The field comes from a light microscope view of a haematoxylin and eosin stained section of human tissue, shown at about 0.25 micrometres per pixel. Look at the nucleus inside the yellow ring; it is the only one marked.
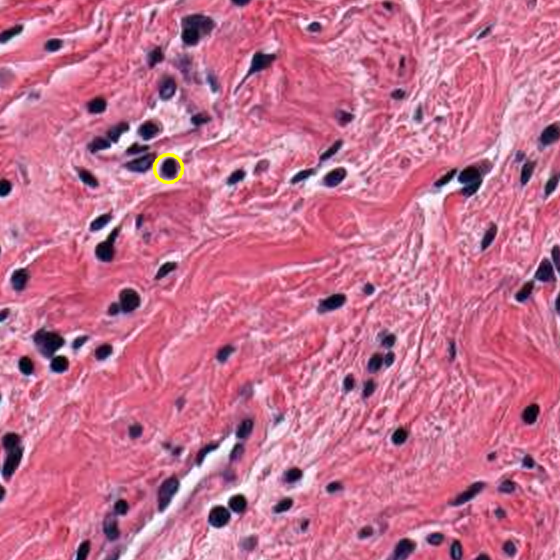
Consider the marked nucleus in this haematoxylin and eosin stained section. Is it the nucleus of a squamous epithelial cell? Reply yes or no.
no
